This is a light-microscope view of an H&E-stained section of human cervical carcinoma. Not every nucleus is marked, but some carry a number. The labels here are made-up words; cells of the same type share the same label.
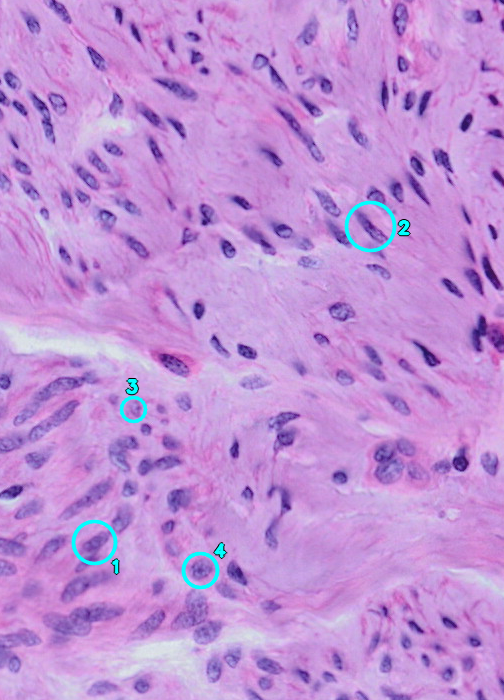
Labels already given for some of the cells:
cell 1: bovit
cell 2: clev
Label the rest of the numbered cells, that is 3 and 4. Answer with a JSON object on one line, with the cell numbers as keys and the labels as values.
{"3": "bovit", "4": "bovit"}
